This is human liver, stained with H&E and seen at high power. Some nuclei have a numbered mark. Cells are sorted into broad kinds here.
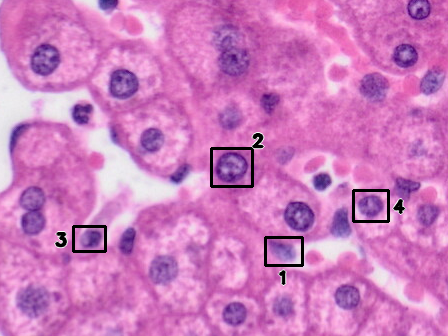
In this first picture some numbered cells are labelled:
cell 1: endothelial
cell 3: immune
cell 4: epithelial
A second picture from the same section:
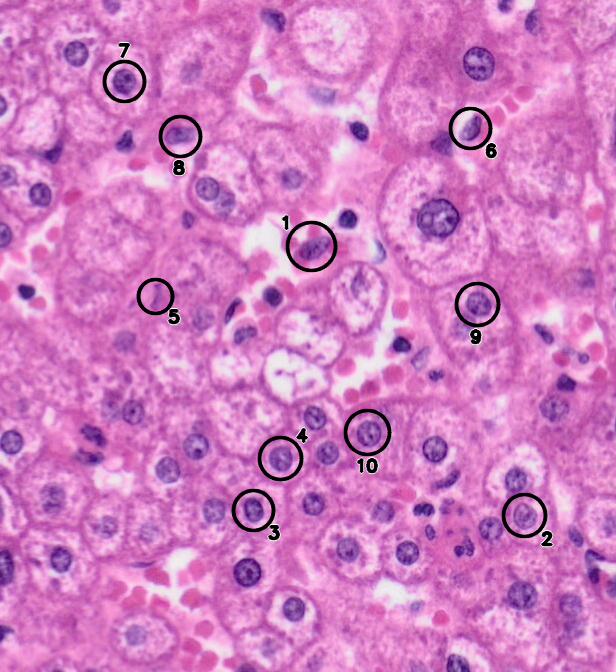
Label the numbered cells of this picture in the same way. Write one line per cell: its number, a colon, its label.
1: immune
2: epithelial
3: epithelial
4: epithelial
5: endothelial
6: immune
7: epithelial
8: immune
9: epithelial
10: epithelial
